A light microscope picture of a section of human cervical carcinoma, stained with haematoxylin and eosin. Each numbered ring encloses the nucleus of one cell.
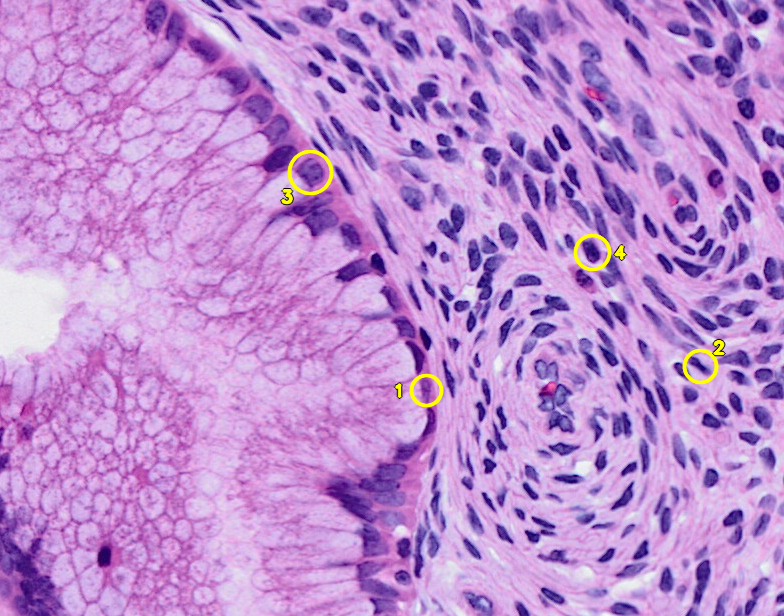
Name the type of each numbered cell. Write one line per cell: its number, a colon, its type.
1: secretory epithelial cell
2: fibroblast
3: secretory epithelial cell
4: lymphocyte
